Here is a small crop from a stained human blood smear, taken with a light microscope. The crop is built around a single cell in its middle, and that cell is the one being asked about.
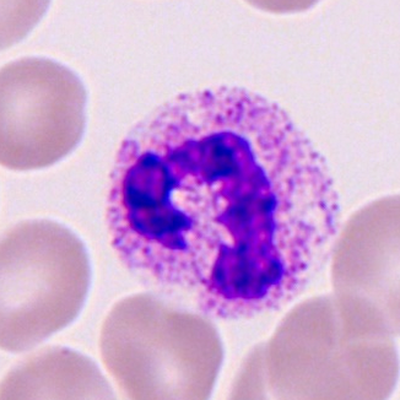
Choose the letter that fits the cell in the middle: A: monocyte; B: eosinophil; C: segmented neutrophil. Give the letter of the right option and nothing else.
C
